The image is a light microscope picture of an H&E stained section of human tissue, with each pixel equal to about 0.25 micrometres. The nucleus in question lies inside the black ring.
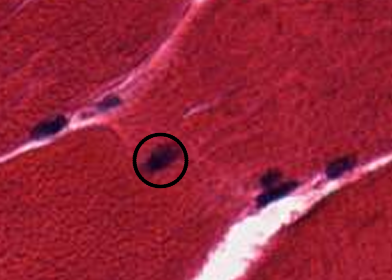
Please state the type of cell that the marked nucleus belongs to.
skeletal muscle fibre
